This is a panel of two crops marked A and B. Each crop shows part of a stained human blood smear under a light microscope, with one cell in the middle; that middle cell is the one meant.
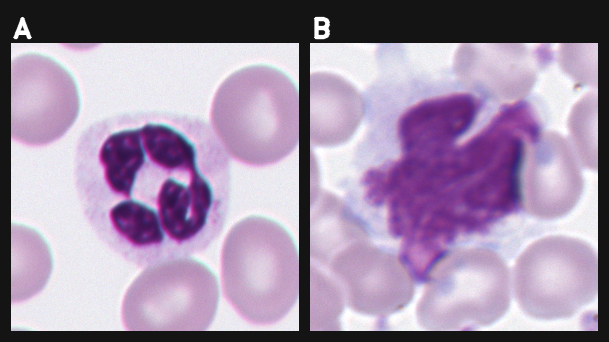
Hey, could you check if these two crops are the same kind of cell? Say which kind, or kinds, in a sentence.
No, the cell shown in crop A is a segmented neutrophil, and the cell shown in crop B is a monocyte.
